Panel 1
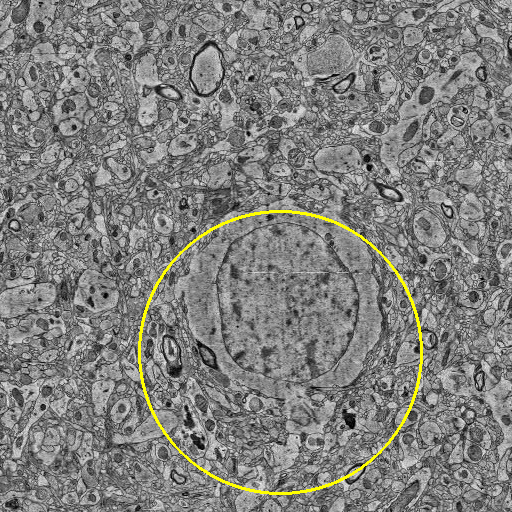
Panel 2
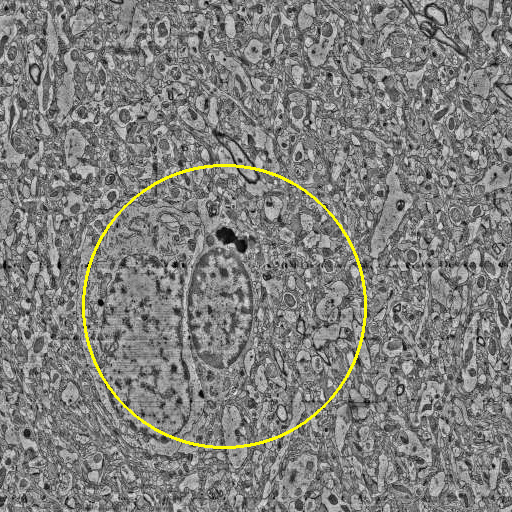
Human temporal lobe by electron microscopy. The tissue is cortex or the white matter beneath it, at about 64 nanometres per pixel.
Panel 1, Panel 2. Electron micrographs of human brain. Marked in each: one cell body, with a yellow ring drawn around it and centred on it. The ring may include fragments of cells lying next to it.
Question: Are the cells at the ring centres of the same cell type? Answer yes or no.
no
